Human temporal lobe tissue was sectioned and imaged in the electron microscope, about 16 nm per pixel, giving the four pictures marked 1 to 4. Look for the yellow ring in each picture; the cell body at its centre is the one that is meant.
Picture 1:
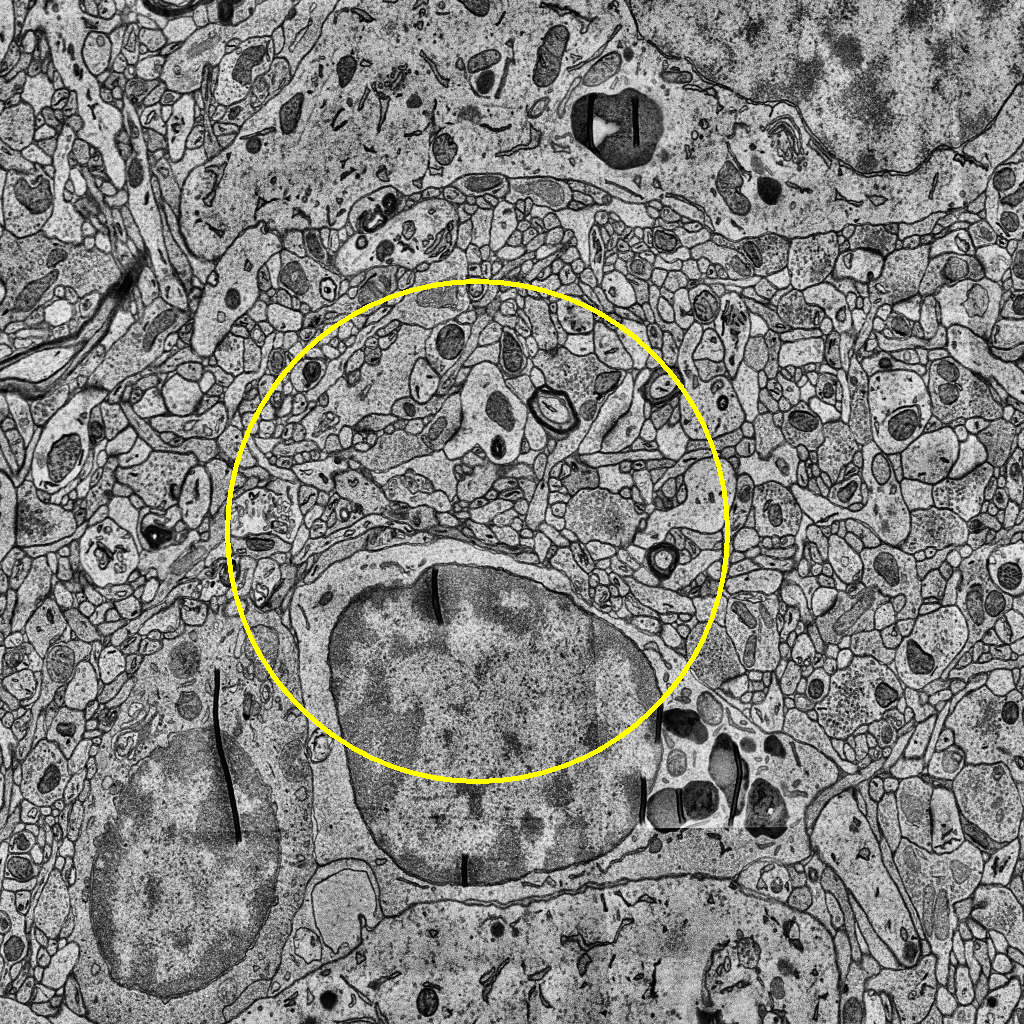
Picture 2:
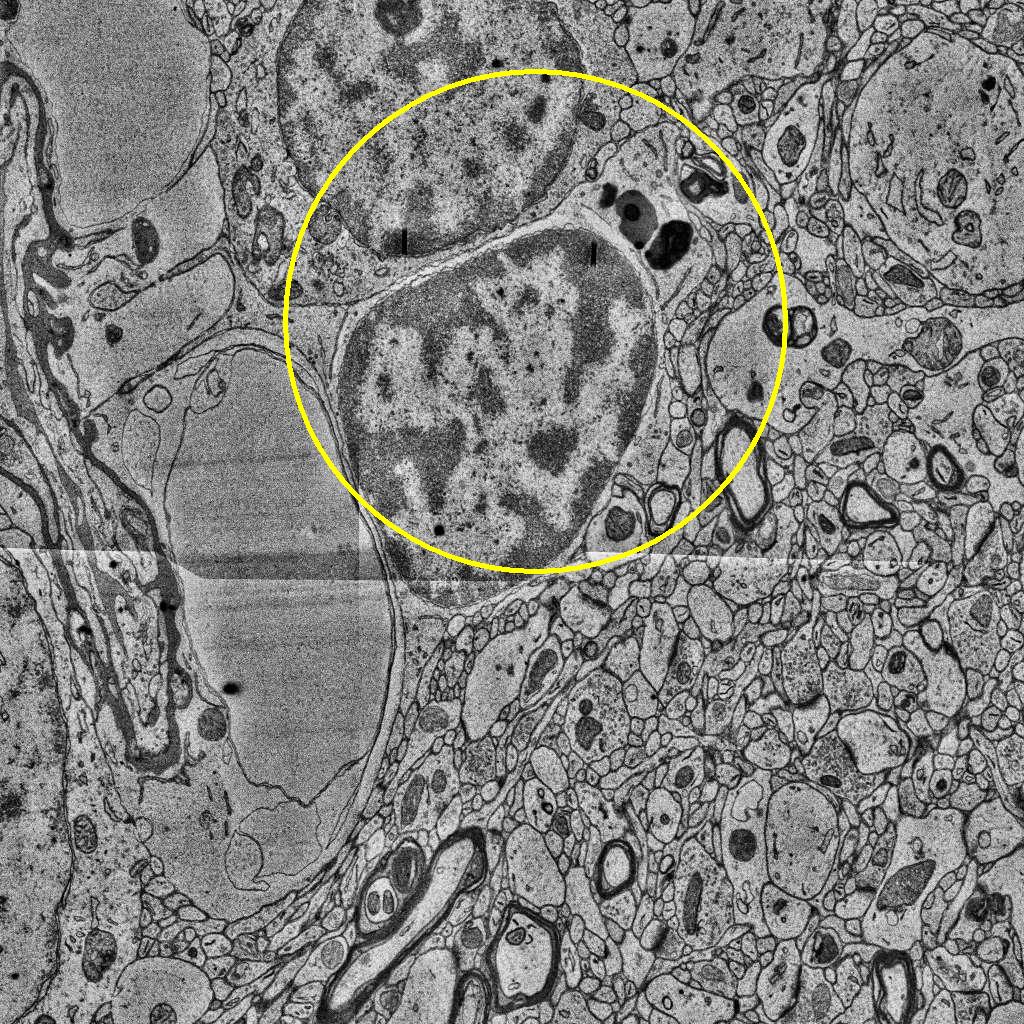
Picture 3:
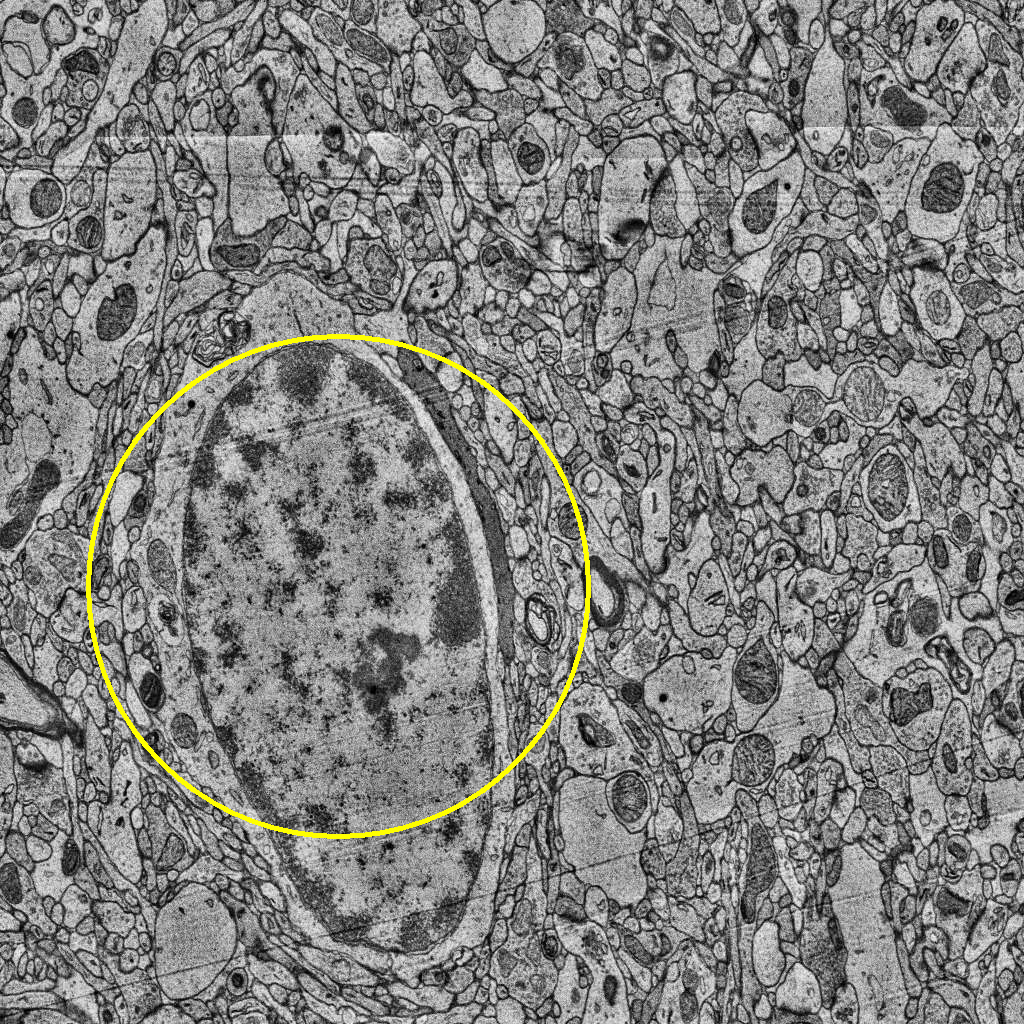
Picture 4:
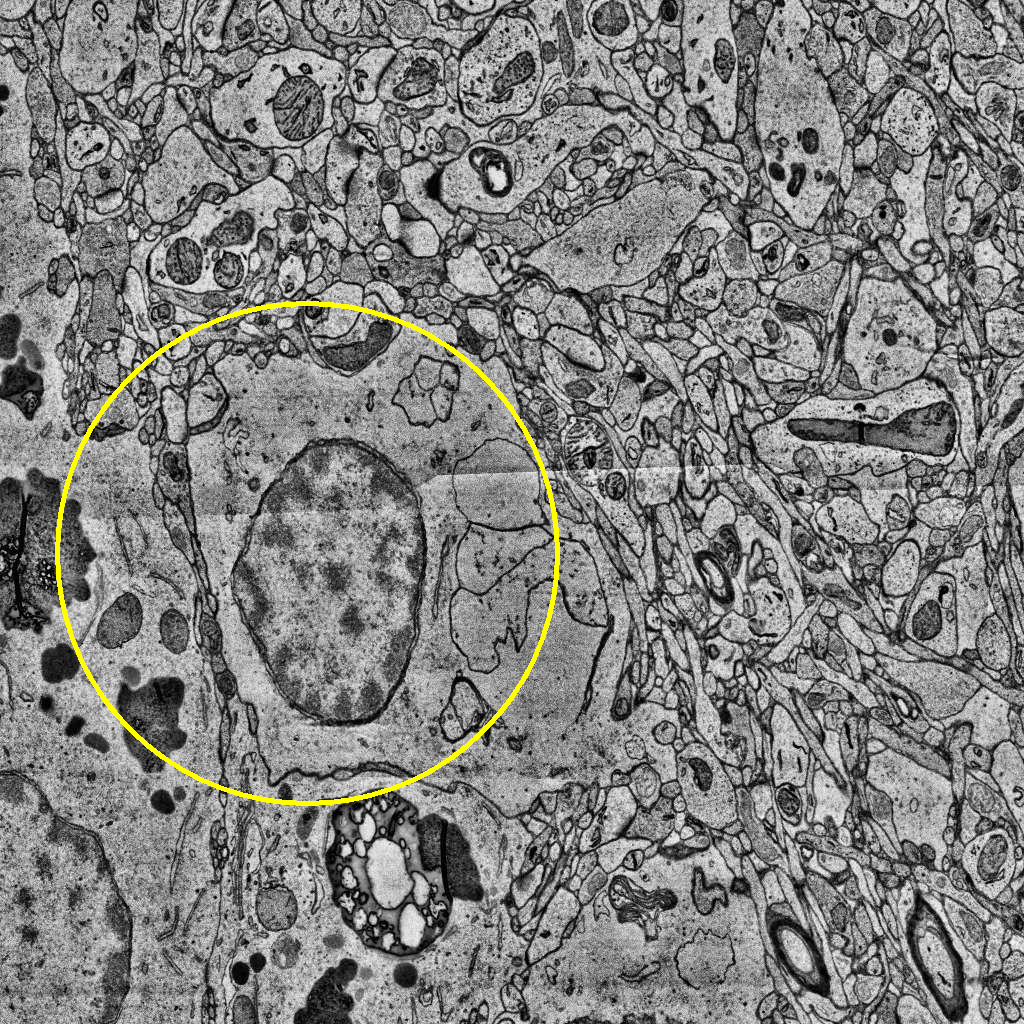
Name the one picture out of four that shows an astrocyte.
The cell in picture 4 is the astrocyte.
